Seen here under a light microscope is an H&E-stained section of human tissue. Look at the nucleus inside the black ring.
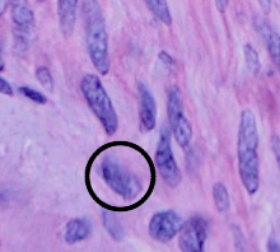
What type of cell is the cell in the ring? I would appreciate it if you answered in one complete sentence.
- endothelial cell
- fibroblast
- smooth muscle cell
In short, the cell in the ring on this section is a fibroblast.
